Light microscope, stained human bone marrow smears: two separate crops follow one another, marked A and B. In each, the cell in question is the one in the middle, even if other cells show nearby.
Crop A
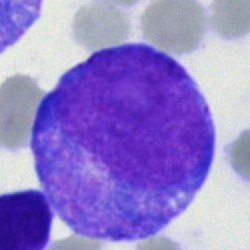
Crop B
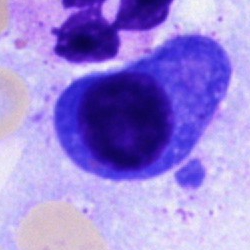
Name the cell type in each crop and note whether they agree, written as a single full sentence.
No, the cell of interest in crop A is a promyelocyte, and in crop B it is a plasma cell.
